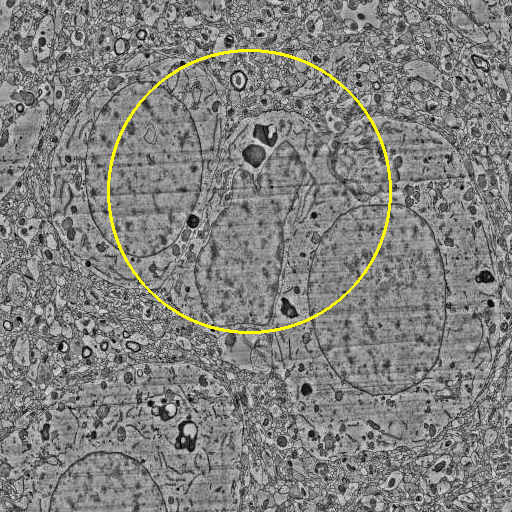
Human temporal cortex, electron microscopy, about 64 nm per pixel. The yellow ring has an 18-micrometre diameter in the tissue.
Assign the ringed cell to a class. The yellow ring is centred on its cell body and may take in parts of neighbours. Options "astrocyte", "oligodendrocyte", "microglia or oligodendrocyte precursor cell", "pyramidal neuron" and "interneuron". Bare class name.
interneuron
